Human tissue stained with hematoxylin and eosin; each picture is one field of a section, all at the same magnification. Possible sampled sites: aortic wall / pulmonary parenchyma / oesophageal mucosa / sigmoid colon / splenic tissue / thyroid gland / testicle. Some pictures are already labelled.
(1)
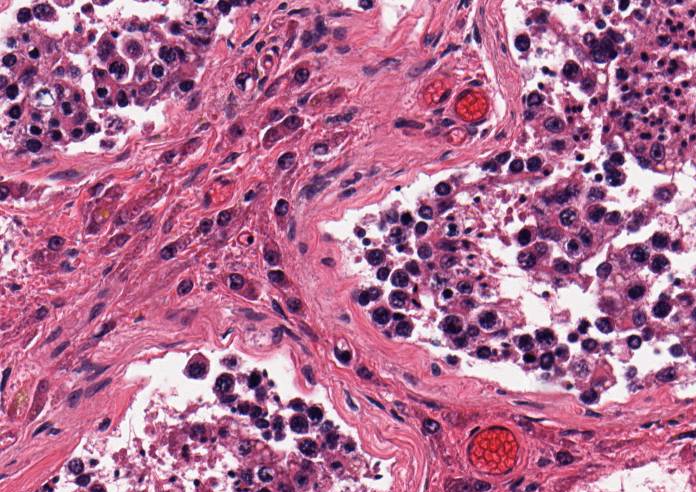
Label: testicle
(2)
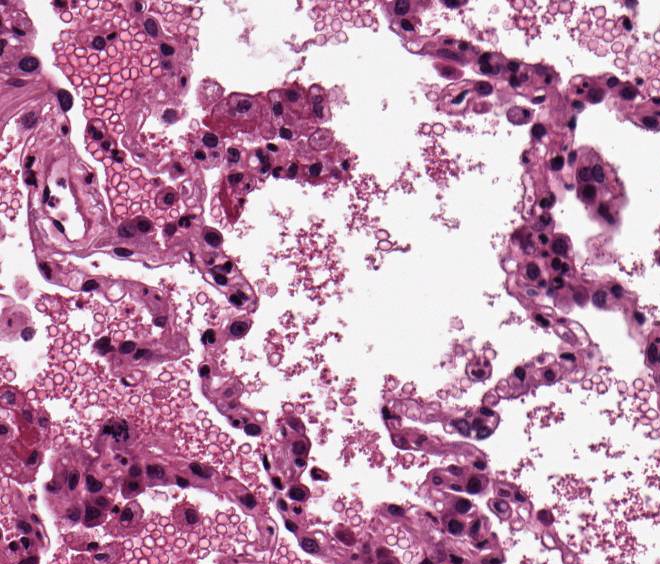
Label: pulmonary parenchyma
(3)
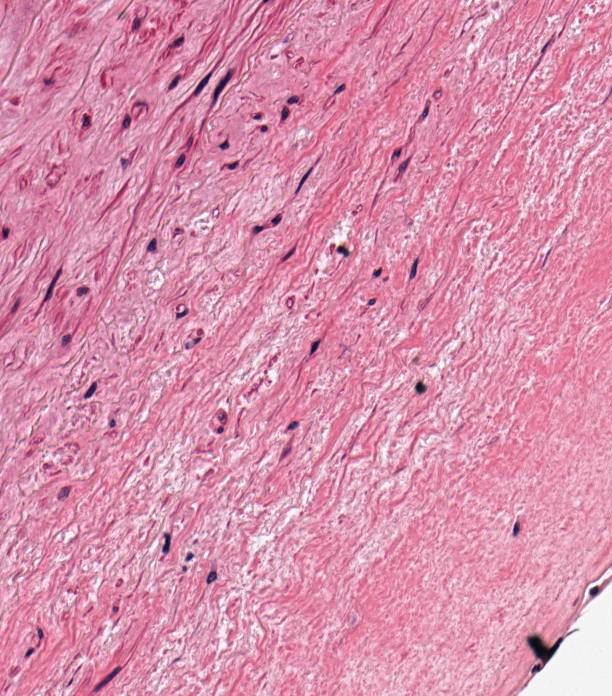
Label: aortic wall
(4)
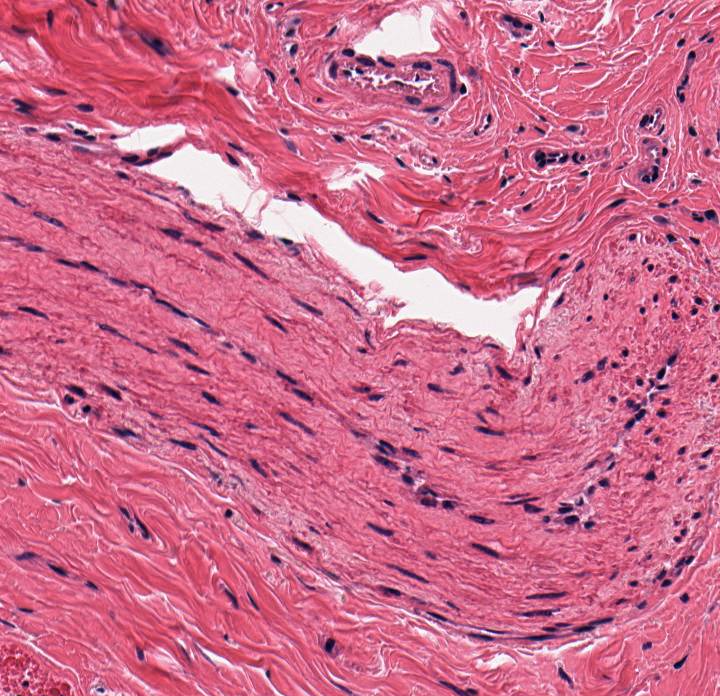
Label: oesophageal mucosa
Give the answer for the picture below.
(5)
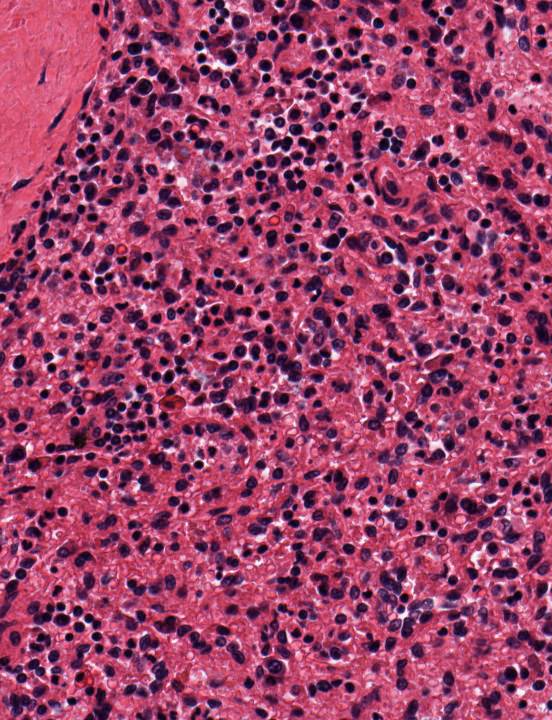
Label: splenic tissue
